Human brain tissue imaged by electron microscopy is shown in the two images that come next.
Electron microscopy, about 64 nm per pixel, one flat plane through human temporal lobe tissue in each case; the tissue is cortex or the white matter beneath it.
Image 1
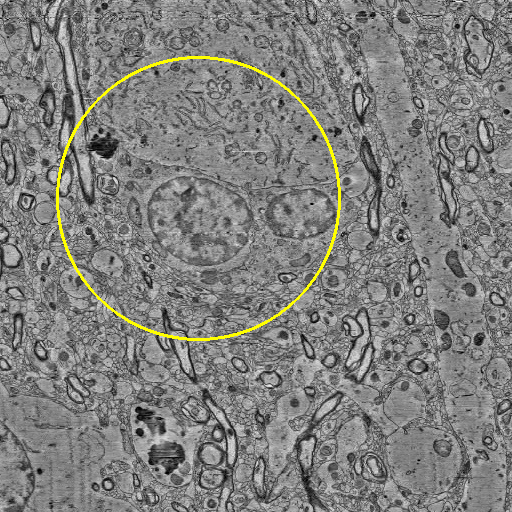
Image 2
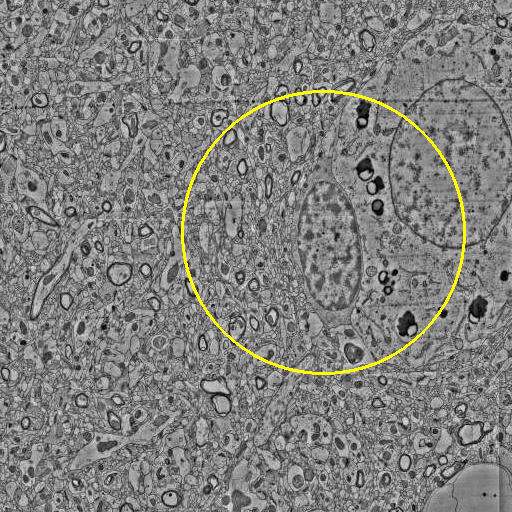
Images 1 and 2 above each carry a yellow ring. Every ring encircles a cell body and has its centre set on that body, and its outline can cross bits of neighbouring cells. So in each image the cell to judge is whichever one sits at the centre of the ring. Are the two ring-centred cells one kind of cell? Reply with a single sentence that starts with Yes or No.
Yes, in Image 1 and Image 2 the cells at the centres of their rings fall into one type.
